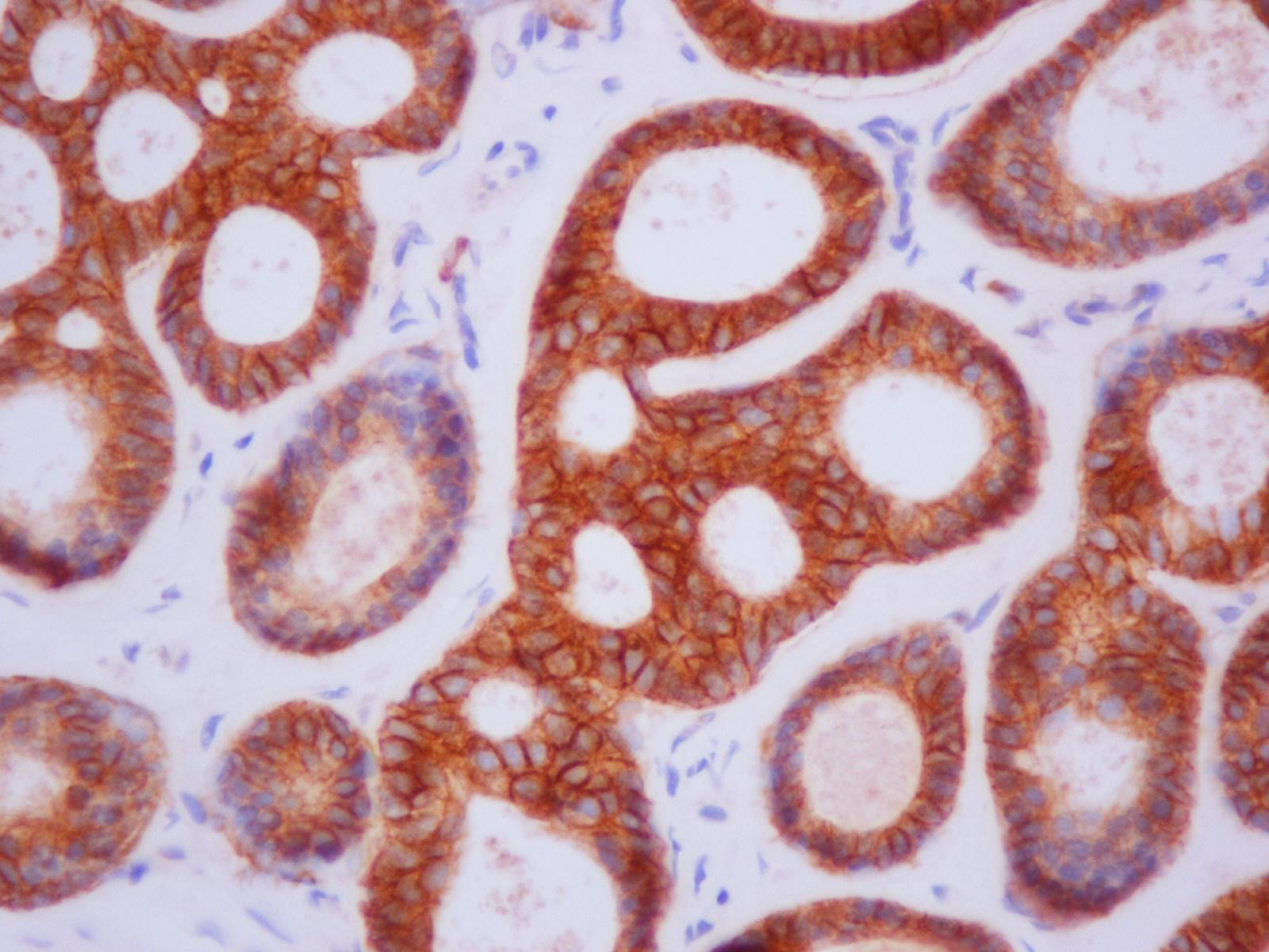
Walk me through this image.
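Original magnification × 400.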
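Nests and cords of epithelial cells are set in a pale, loose stroma that contains scattered slender blue spindle-shaped nuclei, and the nests are pierced by many round spaces of varying size. The epithelial cells have oval, pale blue nuclei, and their cytoplasm and cell borders are stained brown, outlining each cell in a honeycomb-like pattern. The brown stain is most intense in the larger, confluent nests and weaker in some smaller rounded nests, while the stroma stays unstained.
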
